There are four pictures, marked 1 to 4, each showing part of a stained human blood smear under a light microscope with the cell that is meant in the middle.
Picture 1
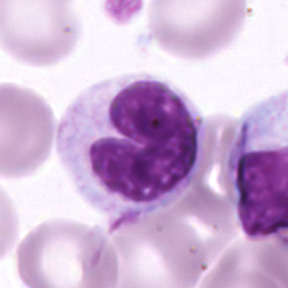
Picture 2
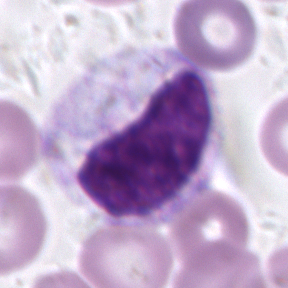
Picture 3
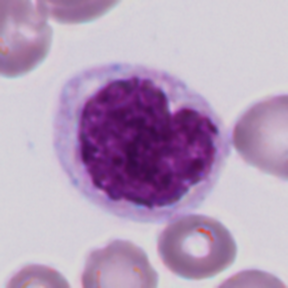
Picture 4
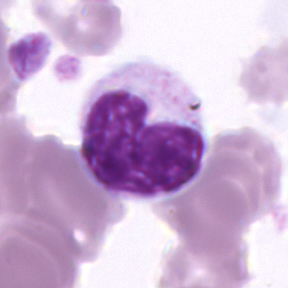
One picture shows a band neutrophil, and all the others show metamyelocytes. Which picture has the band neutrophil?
1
